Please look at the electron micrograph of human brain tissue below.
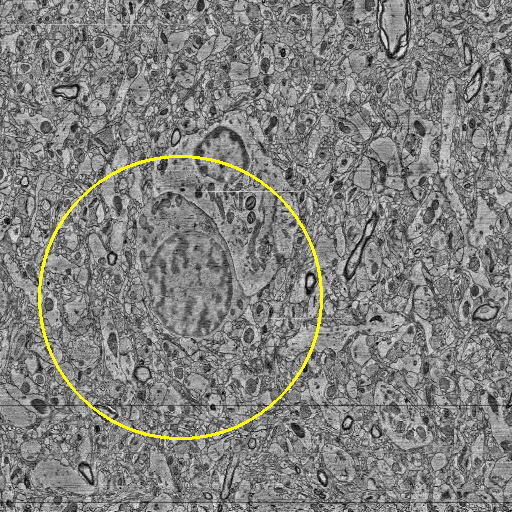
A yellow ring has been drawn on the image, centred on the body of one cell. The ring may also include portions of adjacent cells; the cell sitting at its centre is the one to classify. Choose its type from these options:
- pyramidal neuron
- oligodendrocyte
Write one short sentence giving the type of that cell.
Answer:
The cell in the middle of the ring is an oligodendrocyte.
